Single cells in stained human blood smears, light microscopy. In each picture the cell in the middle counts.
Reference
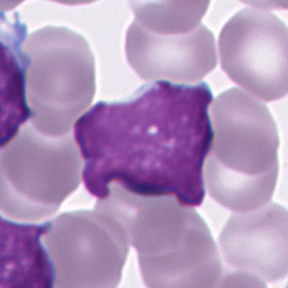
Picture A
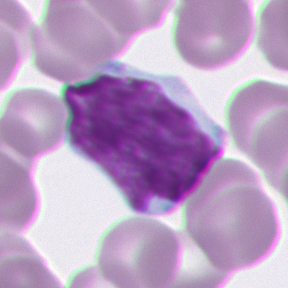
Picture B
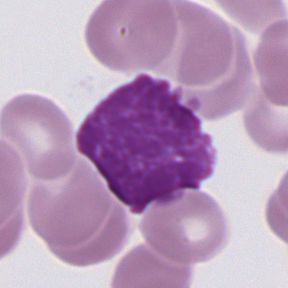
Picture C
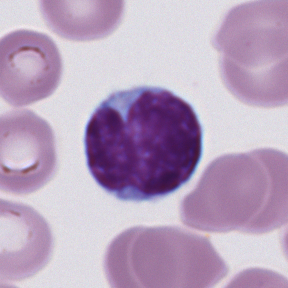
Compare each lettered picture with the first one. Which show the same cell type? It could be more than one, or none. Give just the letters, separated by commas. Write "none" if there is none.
A, C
